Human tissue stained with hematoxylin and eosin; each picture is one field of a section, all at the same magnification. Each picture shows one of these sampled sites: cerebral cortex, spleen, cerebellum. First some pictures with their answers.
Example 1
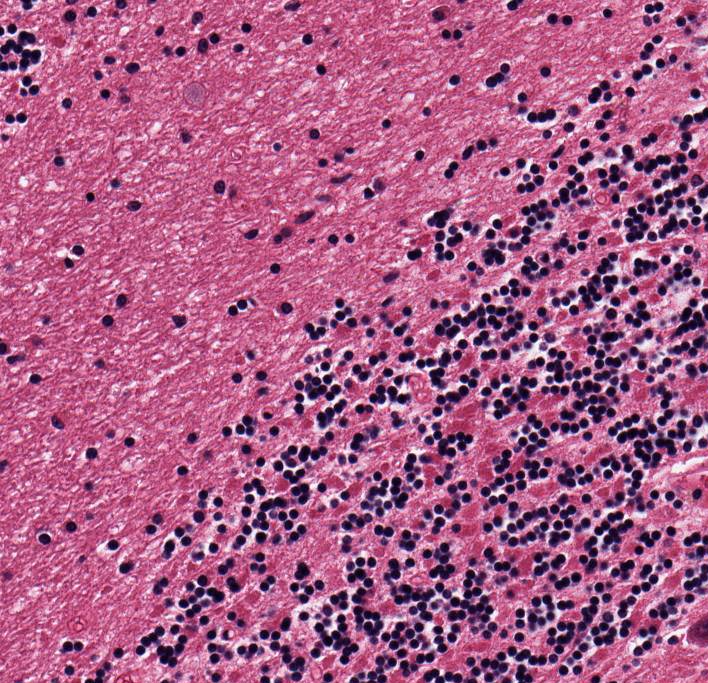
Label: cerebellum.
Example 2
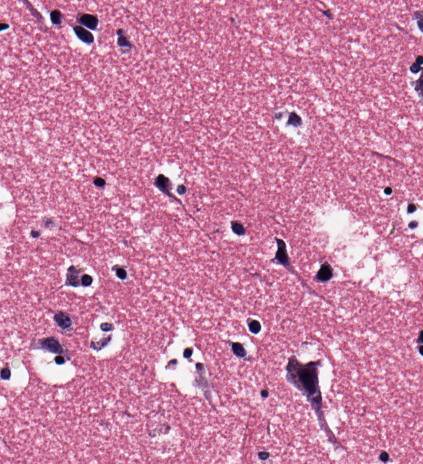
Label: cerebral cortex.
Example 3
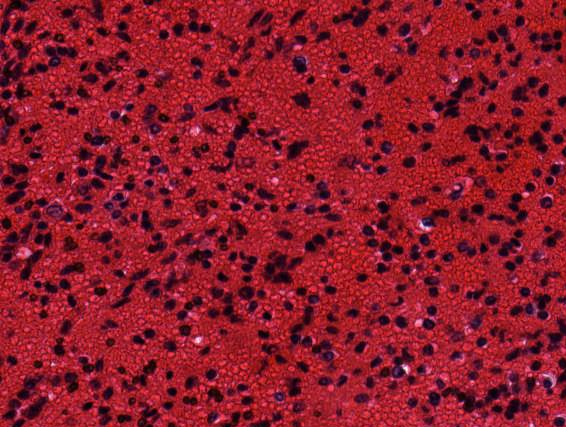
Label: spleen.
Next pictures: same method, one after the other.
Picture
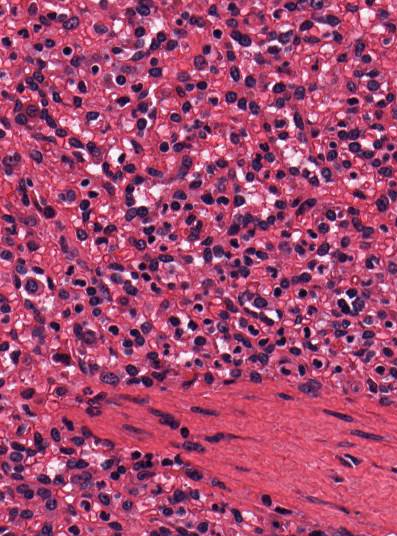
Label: spleen.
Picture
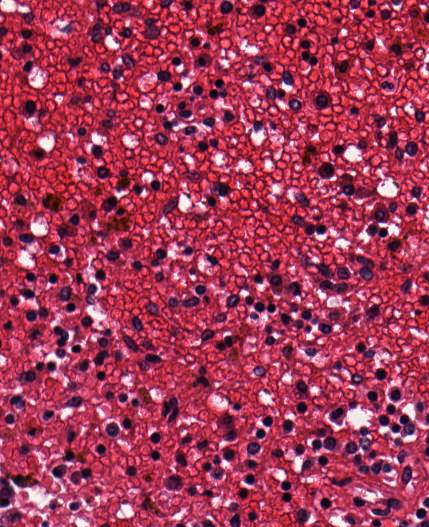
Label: spleen.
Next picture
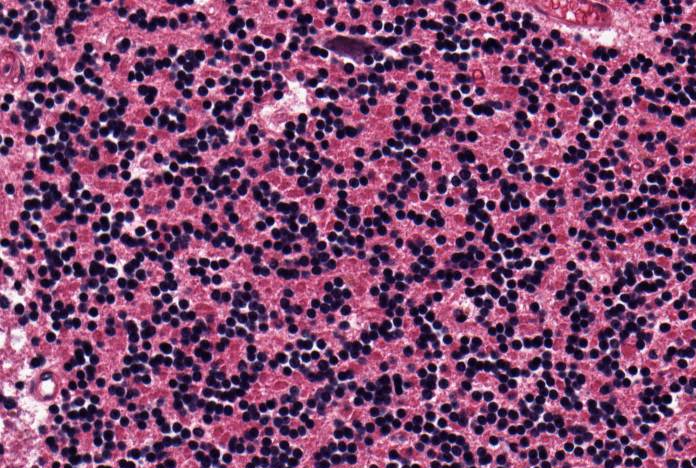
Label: cerebellum.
